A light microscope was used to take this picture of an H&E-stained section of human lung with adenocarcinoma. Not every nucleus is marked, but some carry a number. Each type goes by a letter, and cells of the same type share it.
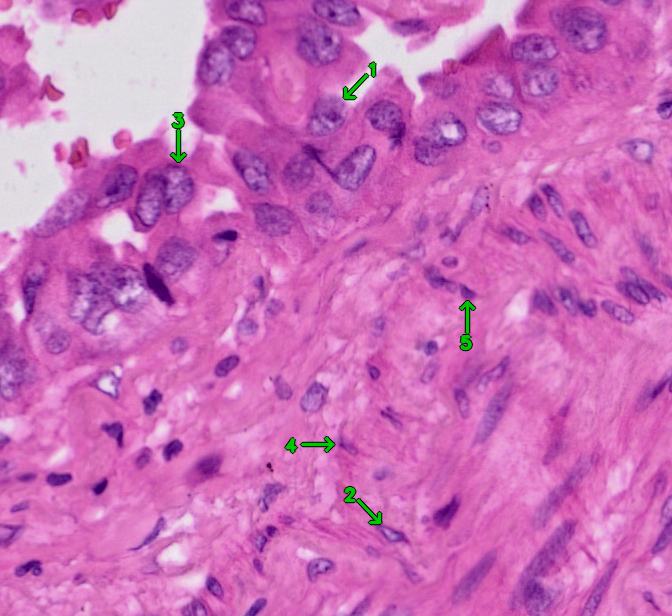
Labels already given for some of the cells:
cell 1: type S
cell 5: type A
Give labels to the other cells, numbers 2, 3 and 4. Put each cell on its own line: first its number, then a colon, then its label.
2: type A
3: type S
4: type A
